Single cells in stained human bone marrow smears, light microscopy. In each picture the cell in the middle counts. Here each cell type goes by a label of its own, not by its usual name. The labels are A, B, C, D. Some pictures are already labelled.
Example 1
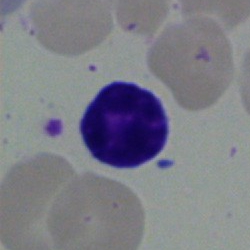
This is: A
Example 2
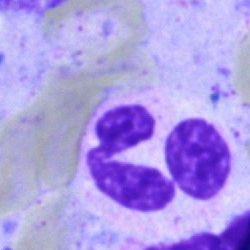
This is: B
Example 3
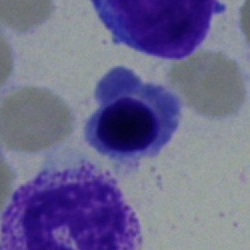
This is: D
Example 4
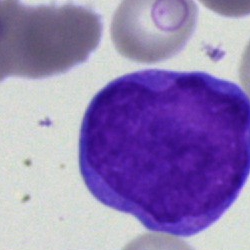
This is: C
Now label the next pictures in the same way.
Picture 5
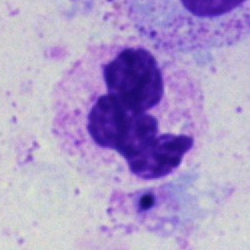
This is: B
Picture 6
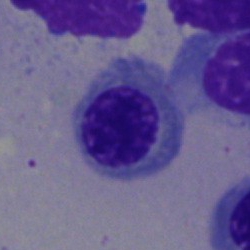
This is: D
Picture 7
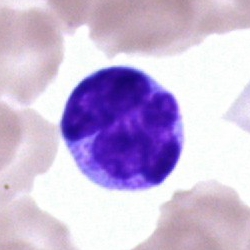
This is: A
